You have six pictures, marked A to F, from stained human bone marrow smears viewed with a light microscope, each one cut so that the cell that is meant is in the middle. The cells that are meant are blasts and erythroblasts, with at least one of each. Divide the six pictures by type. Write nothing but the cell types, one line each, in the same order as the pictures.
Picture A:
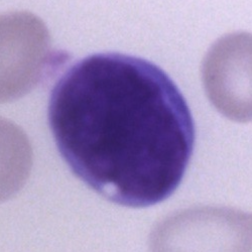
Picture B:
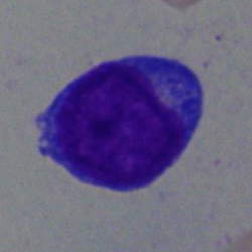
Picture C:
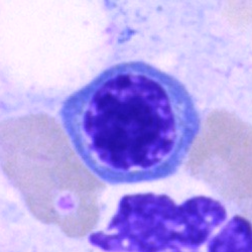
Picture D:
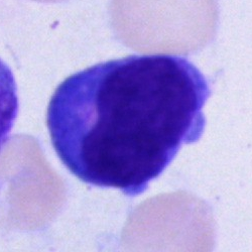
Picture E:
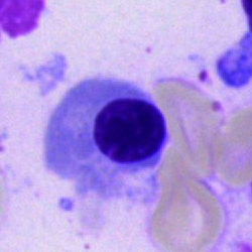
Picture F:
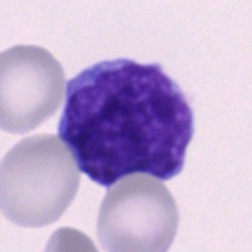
blast
blast
erythroblast
blast
erythroblast
blast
